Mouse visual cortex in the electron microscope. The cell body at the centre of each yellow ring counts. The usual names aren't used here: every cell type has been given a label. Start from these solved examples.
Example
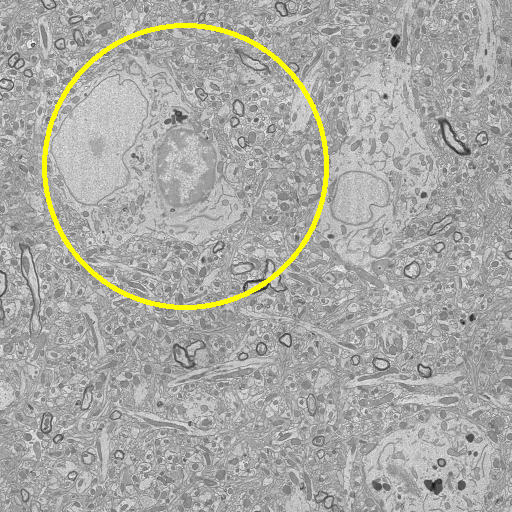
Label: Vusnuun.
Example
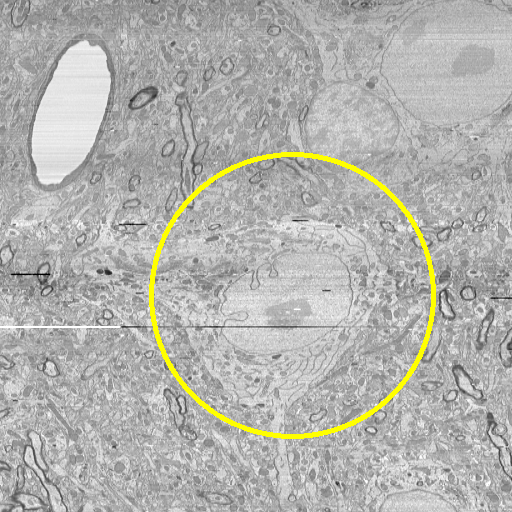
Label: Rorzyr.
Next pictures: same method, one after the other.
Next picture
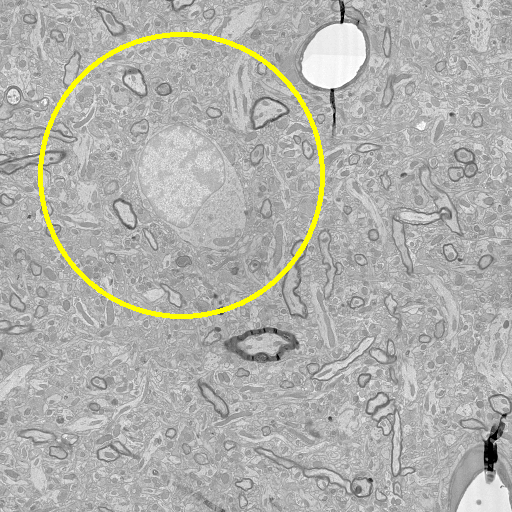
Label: Vusnuun.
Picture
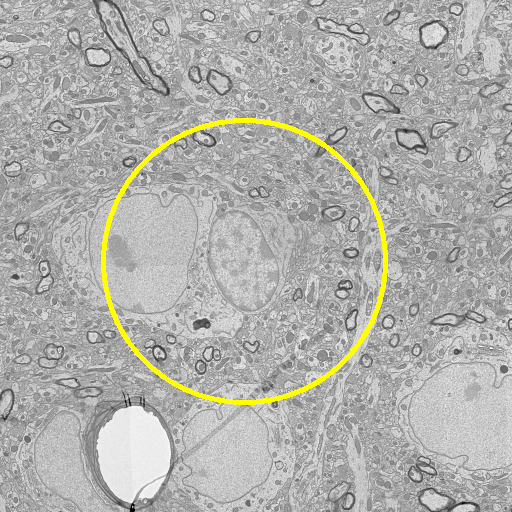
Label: Vusnuun.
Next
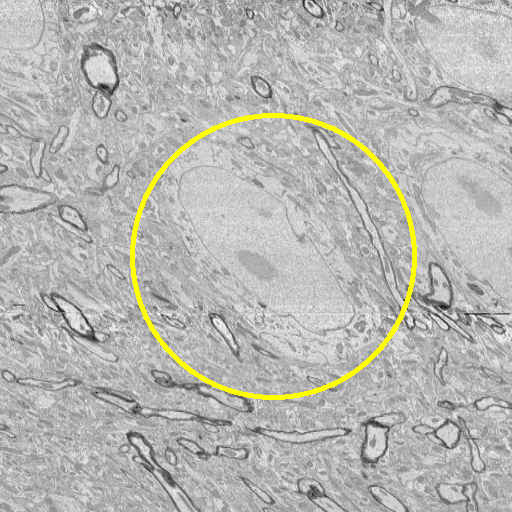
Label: Rorzyr.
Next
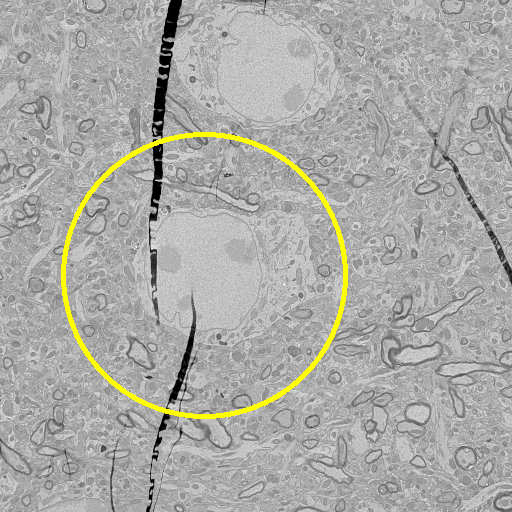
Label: Rorzyr.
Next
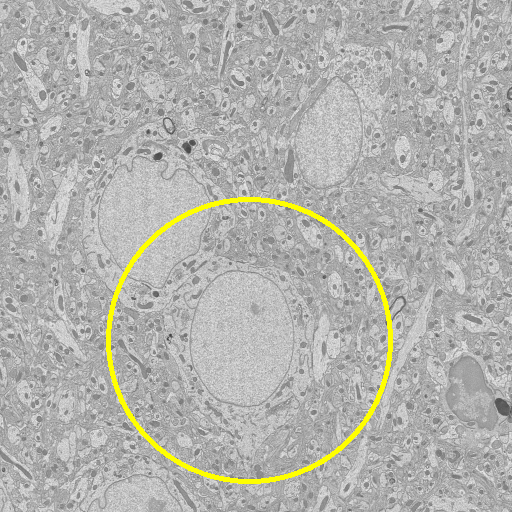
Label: Rorzyr.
